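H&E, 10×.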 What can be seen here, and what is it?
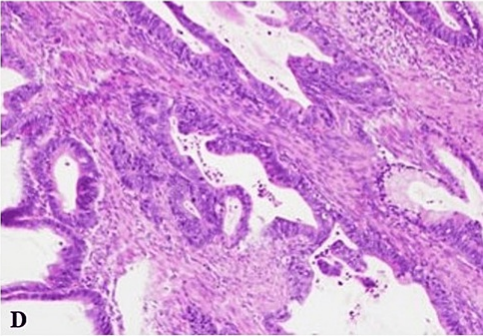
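Cystic and glandular spaces are lined by columnar epithelium with darkly stained, crowded, elongated nuclei. Beneath and between them lies a dense stroma of spindle cells with elongated nuclei.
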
